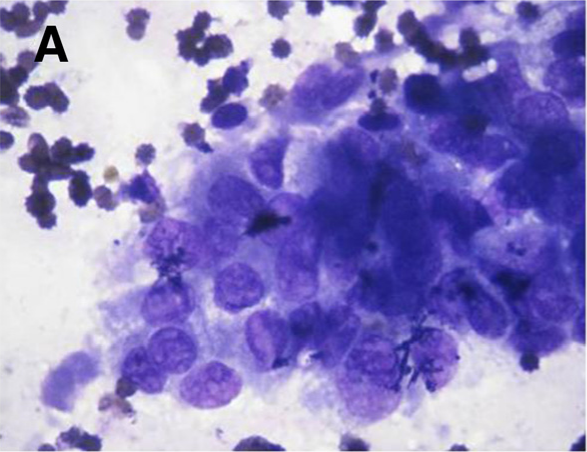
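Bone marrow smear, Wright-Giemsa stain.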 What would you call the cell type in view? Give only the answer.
Metastatic tumor cells.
